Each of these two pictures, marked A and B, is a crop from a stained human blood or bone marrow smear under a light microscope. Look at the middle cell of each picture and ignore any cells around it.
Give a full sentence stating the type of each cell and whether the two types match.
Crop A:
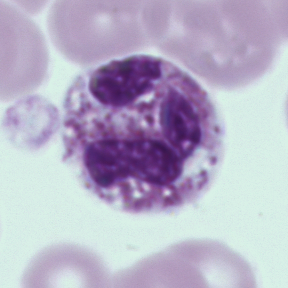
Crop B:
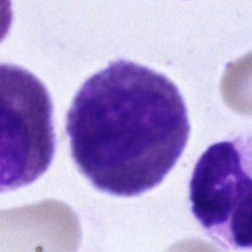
Yes, the centre of both crops is taken up by eosinophils.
